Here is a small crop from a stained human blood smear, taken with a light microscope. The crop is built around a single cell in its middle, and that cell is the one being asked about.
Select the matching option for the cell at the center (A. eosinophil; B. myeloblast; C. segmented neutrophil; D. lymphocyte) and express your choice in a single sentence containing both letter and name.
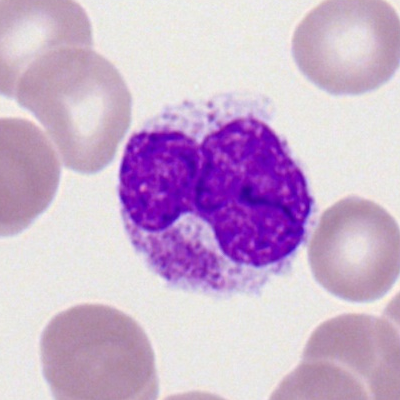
The central cell of the crop is an eosinophil, which makes A the correct option.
